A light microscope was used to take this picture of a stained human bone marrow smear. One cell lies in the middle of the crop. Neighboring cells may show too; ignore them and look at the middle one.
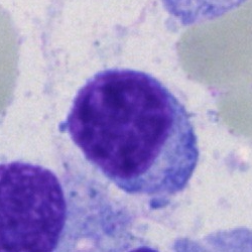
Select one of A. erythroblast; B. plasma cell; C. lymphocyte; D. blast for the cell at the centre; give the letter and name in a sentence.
The cell at the centre, correctly named in option C, is a lymphocyte.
